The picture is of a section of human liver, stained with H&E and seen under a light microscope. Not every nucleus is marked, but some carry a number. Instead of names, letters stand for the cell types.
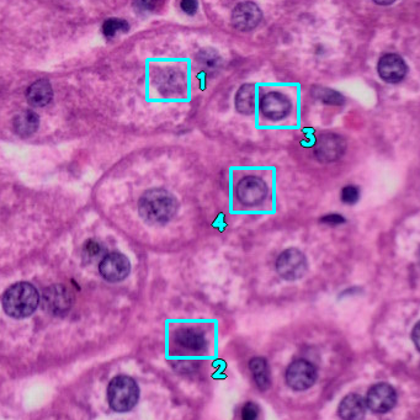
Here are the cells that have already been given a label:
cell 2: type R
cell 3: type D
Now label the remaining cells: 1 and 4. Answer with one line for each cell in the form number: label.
1: type D
4: type D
